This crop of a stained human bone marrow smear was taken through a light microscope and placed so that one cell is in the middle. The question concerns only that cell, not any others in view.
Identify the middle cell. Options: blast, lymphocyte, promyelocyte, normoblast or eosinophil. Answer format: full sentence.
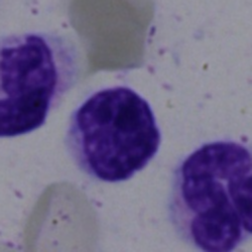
The cell in the middle of this crop is a lymphocyte.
